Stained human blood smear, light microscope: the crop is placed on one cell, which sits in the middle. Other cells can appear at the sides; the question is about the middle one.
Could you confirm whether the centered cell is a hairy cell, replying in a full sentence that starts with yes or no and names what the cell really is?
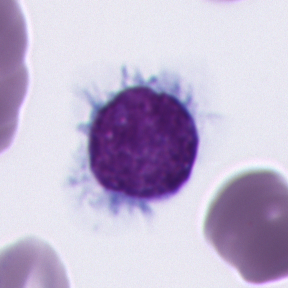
Yes, the cell in the center of the field is a hairy cell.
